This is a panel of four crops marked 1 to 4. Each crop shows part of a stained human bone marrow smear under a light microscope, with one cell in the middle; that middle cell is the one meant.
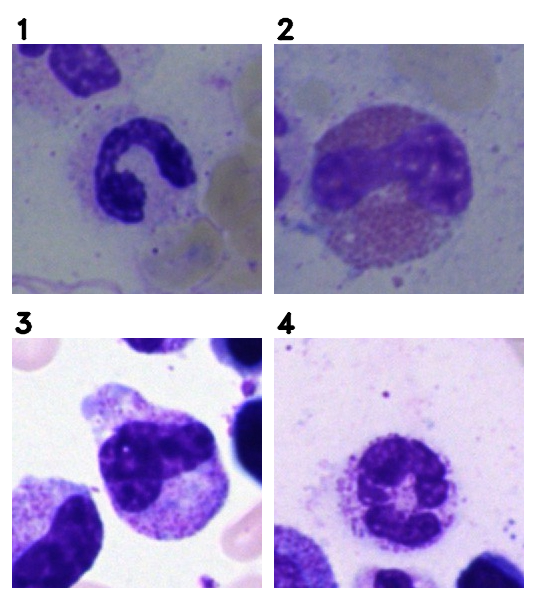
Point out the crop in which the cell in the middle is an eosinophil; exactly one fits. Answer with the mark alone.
2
